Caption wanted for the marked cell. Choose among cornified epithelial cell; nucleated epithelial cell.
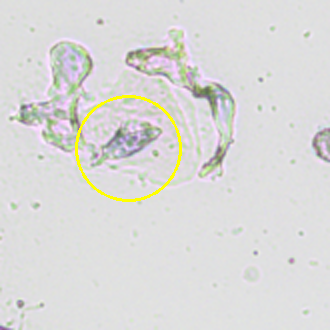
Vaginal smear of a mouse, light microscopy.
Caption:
Ringed in yellow is a cornified epithelial cell.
